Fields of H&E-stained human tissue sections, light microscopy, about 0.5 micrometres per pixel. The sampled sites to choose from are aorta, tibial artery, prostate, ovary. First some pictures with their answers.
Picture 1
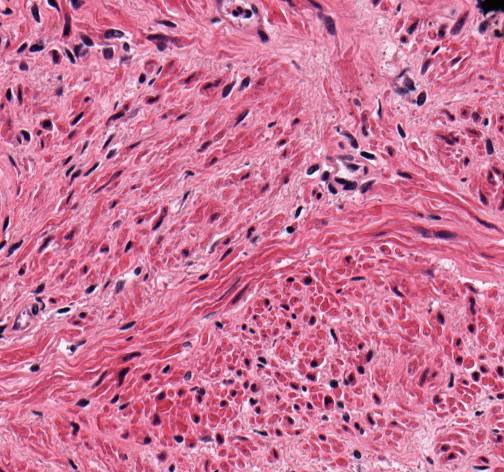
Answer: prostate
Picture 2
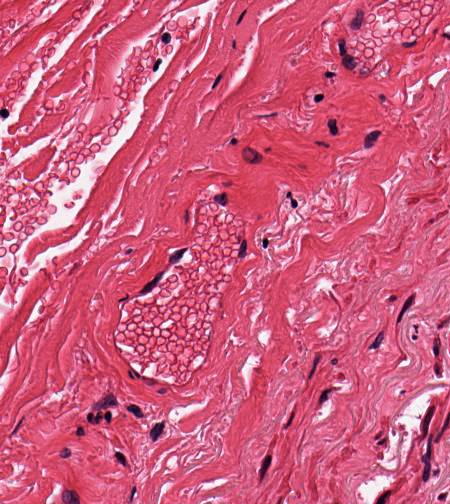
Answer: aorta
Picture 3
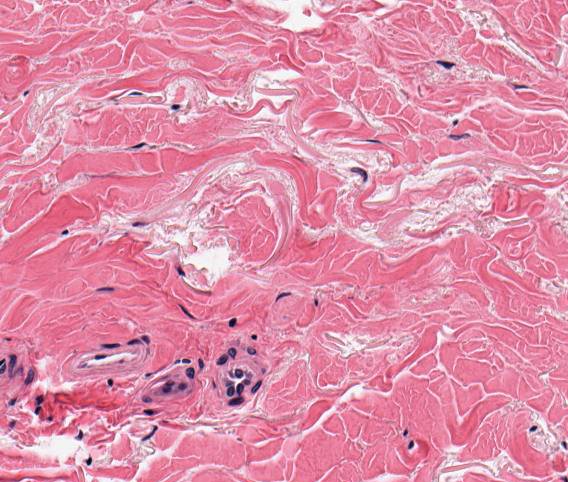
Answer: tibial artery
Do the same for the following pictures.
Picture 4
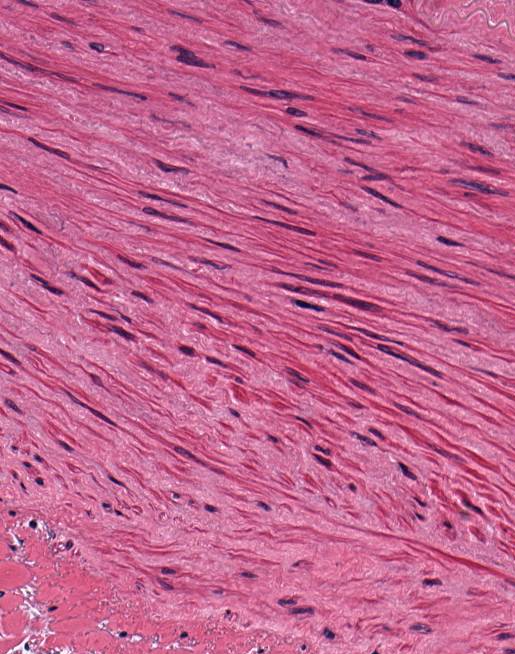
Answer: tibial artery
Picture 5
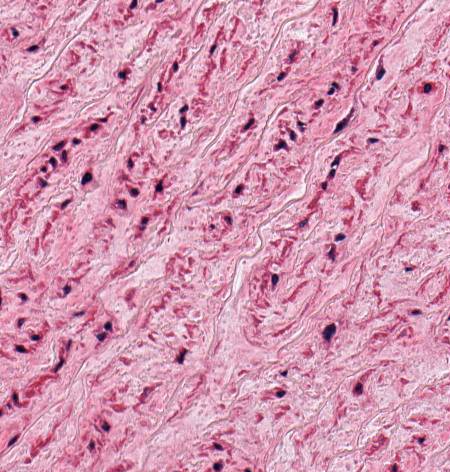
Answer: aorta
